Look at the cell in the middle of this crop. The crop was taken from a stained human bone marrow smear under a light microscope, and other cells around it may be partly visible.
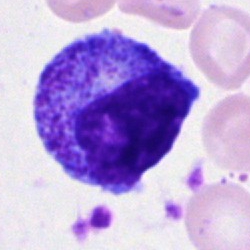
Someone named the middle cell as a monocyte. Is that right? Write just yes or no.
no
